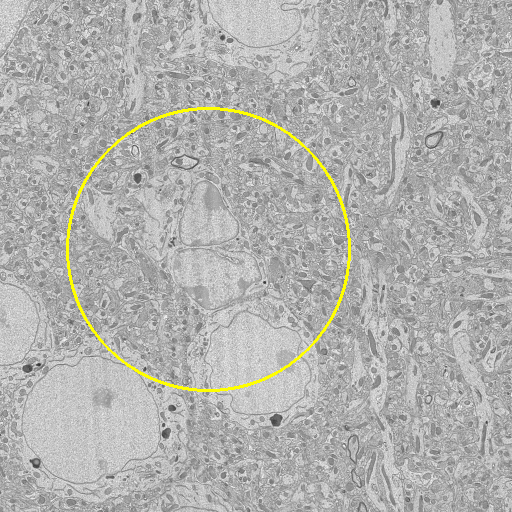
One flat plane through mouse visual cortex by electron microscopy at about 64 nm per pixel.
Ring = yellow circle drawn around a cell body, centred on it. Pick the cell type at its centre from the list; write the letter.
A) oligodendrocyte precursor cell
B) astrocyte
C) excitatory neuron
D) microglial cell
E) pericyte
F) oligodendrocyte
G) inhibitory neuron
A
